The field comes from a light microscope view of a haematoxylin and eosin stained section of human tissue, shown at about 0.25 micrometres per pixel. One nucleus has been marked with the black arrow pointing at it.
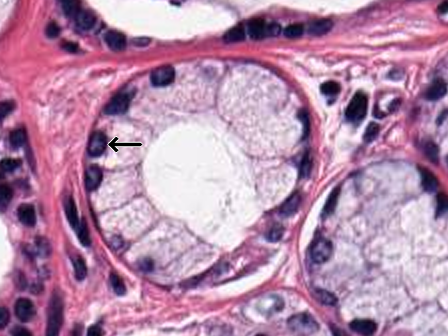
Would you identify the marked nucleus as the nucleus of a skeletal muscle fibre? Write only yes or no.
no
